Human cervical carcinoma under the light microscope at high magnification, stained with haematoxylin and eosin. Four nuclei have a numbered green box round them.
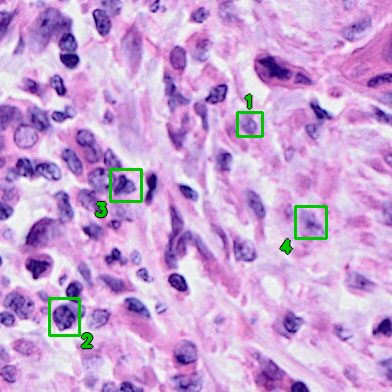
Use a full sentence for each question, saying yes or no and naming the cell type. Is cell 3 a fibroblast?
No, number 3 is not a fibroblast; it is a lymphocyte.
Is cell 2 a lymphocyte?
Yes, the cell with the number 2 is a lymphocyte.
